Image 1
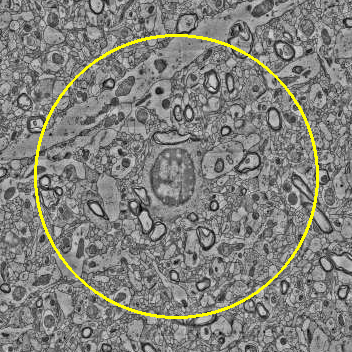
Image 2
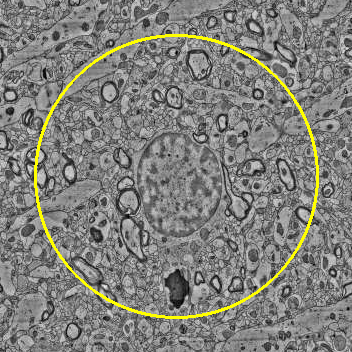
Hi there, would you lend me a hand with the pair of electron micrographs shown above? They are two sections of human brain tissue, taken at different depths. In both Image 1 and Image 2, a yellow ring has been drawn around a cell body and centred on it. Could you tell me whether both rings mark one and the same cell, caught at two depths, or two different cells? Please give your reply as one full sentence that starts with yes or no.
Yes, the two rings belong to one cell, not to two.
